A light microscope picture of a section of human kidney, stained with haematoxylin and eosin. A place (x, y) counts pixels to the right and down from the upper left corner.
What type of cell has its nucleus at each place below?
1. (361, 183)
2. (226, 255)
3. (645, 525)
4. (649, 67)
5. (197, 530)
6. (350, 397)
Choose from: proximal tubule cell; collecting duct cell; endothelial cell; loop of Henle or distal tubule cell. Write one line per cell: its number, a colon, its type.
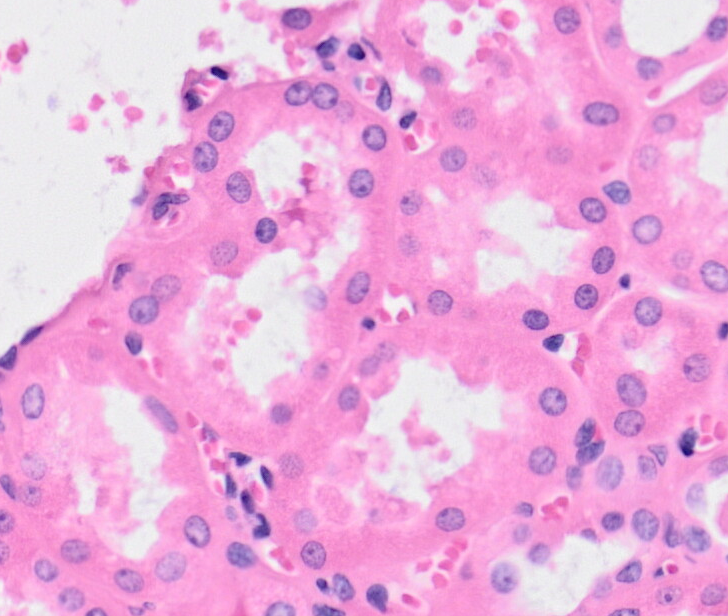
1: proximal tubule cell
2: proximal tubule cell
3: collecting duct cell
4: loop of Henle or distal tubule cell
5: proximal tubule cell
6: proximal tubule cell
